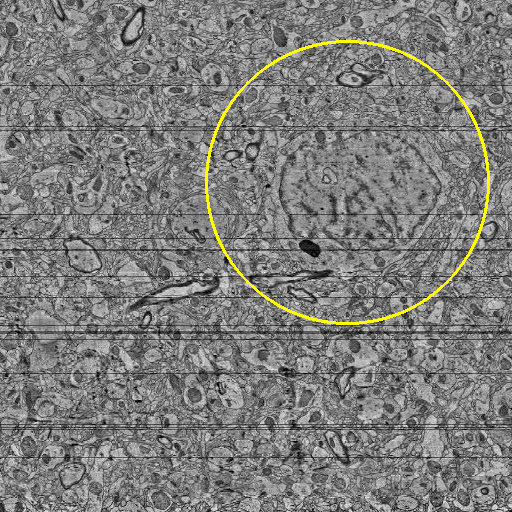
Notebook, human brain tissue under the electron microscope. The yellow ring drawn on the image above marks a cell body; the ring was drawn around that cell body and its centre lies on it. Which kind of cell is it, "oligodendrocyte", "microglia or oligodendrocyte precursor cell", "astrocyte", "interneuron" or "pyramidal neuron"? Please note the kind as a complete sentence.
The marked cell body is that of an interneuron.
